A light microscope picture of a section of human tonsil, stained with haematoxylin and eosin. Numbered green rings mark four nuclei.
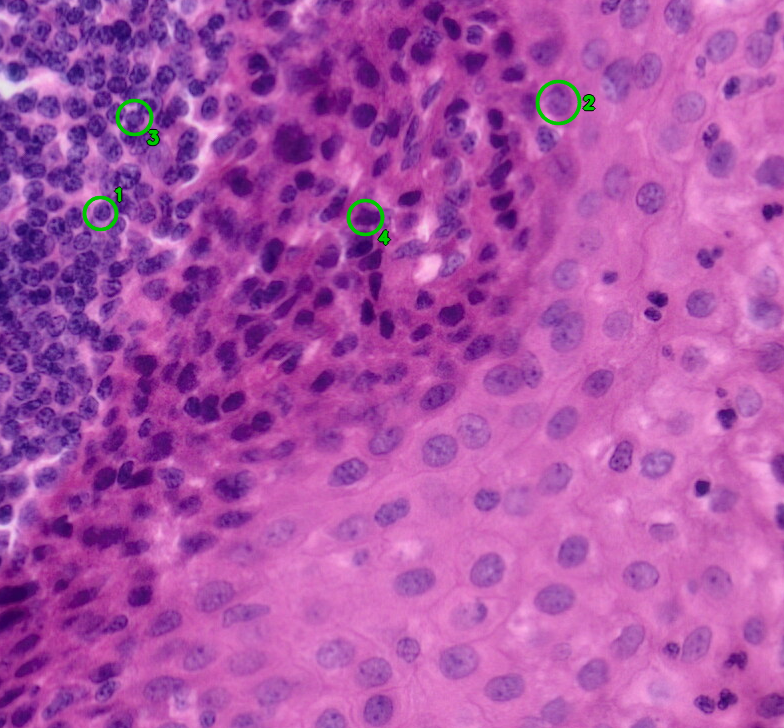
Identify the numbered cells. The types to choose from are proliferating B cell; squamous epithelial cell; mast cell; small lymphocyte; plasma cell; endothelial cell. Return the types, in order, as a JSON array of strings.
["small lymphocyte", "squamous epithelial cell", "small lymphocyte", "squamous epithelial cell"]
